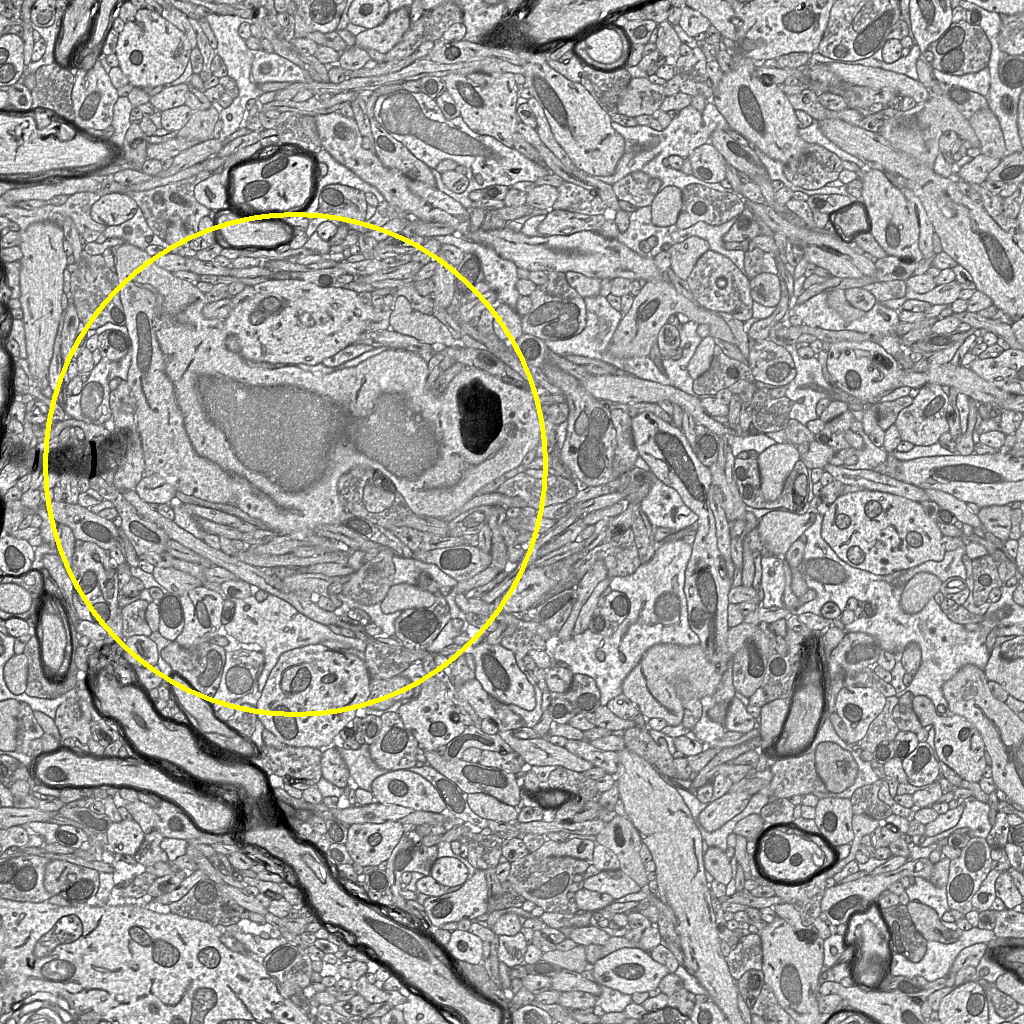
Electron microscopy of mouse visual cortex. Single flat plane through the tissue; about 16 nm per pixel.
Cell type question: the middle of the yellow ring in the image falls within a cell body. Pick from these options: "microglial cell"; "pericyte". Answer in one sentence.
The cell body at the center of the ring belongs to a microglial cell.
